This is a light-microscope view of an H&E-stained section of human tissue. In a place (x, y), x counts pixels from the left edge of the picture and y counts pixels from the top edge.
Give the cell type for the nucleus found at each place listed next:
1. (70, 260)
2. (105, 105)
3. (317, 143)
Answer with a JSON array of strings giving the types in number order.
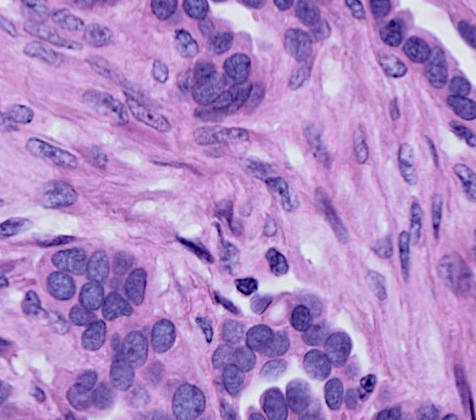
["carcinoma cell", "fibroblast", "fibroblast"]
